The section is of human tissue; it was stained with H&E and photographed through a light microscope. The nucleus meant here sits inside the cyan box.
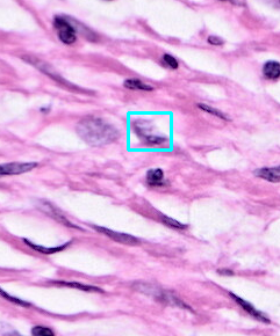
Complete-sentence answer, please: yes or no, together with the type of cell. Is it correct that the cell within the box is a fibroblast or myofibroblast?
Yes, the claim that the cell within the box is a fibroblast or myofibroblast holds true.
